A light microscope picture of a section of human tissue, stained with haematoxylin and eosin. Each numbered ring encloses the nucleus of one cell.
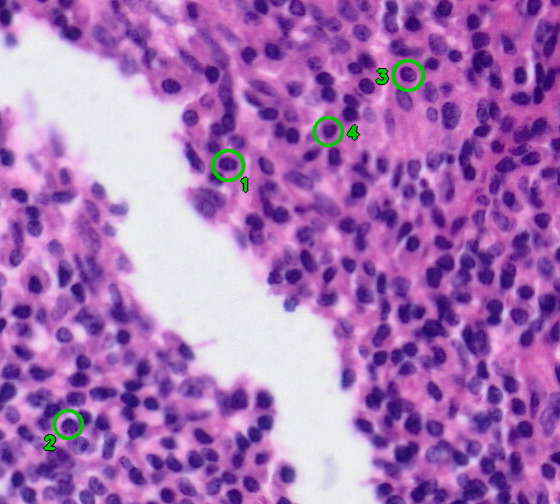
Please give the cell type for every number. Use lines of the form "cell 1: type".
cell 1: plasma cell
cell 2: small lymphocyte
cell 3: plasma cell
cell 4: plasma cell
